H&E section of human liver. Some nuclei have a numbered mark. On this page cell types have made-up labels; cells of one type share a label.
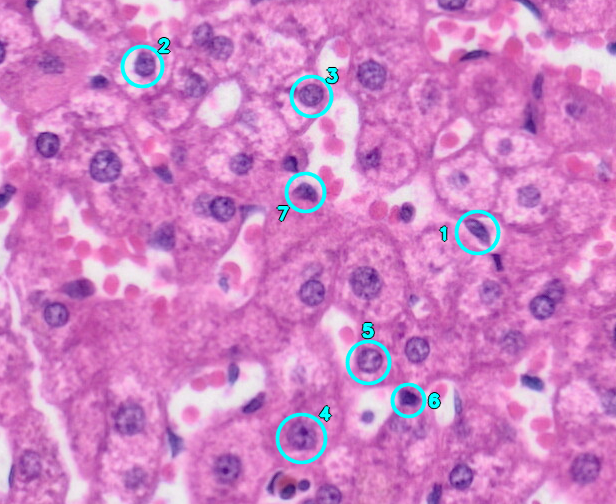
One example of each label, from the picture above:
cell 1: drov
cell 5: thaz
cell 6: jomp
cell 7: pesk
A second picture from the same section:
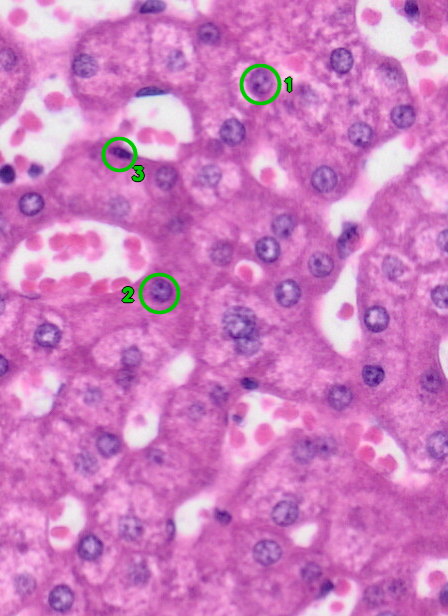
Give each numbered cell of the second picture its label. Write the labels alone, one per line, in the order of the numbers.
thaz
thaz
jomp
